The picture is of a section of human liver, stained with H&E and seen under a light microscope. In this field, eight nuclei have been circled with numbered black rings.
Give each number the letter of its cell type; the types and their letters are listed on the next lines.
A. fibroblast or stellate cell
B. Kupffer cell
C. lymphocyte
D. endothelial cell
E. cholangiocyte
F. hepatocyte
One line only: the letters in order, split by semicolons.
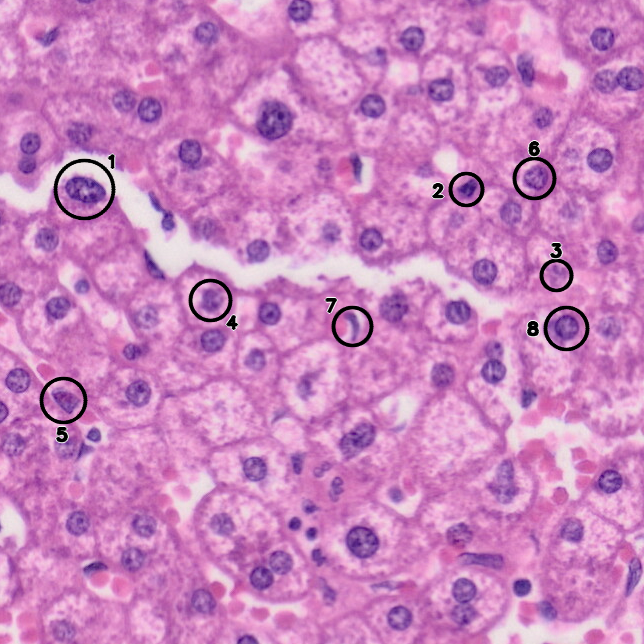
F; A; F; F; D; F; D; F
